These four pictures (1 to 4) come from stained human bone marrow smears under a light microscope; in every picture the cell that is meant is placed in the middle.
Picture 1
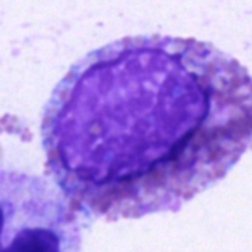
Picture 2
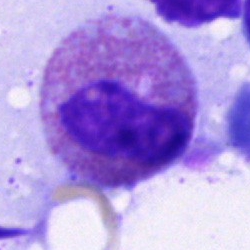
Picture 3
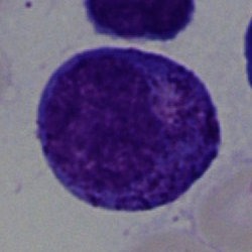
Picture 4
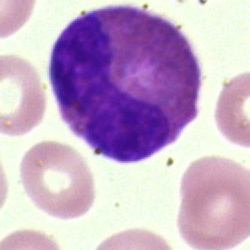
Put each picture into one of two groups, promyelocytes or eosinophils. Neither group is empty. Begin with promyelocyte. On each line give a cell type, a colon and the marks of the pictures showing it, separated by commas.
promyelocyte: 3
eosinophil: 1, 2, 4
